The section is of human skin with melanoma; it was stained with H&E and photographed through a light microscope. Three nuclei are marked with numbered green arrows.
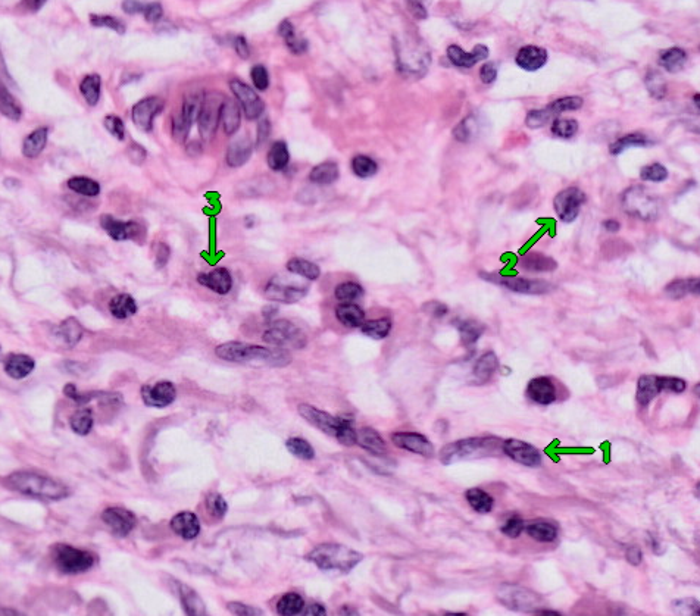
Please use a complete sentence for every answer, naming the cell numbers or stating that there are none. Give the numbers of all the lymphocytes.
None but cell 2 among the numbered cells is a lymphocyte.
